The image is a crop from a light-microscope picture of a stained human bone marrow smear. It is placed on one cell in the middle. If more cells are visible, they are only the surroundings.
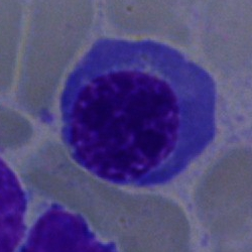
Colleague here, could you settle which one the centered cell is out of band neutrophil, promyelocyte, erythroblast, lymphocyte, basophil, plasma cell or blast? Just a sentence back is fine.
The cell sitting right in the middle is an erythroblast.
